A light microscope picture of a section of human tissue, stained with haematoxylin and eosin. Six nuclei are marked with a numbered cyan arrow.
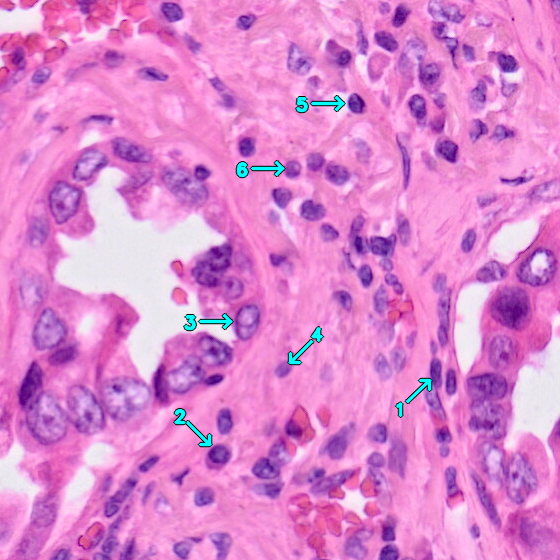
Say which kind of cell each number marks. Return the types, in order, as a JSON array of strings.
["lymphocyte", "plasma cell", "carcinoma cell", "lymphocyte", "lymphocyte", "lymphocyte"]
